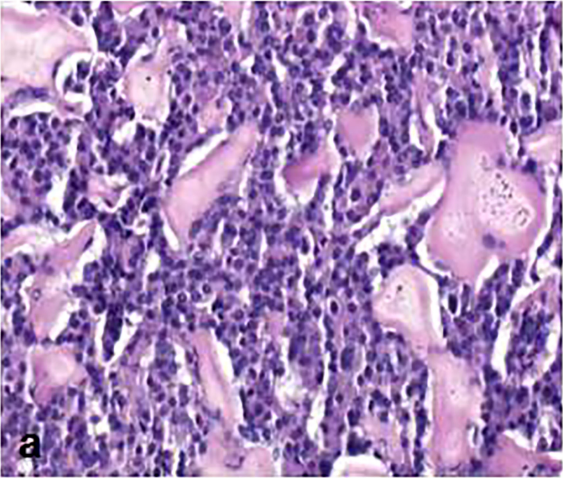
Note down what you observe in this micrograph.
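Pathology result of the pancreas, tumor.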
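Between the cell cords lie broad, pale pink, glassy bands of stroma of irregular shape. The cells hardly differ from one another in size.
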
